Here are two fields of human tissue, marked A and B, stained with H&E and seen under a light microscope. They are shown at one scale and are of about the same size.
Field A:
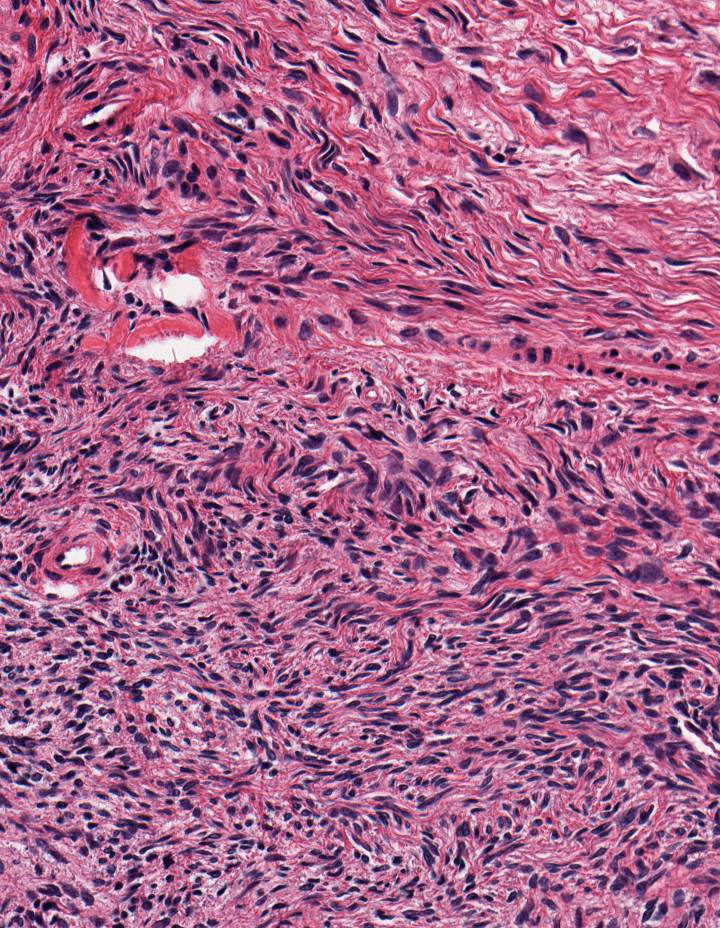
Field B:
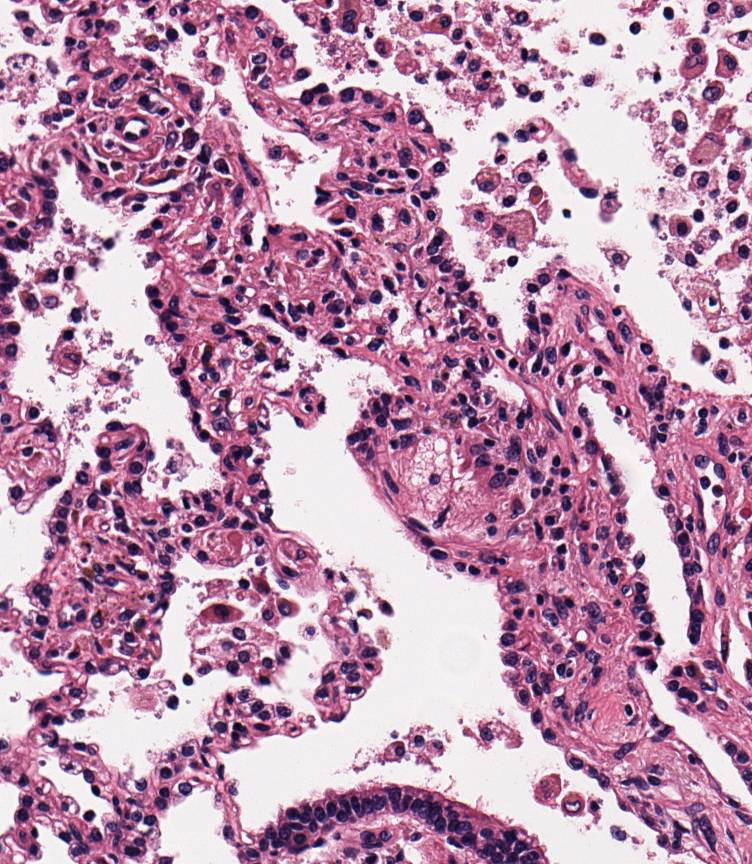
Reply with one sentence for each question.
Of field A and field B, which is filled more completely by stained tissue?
Unstained space takes up less of field A than of field B.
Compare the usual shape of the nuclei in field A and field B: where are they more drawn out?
It is field A whose nuclei are the more elongated.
